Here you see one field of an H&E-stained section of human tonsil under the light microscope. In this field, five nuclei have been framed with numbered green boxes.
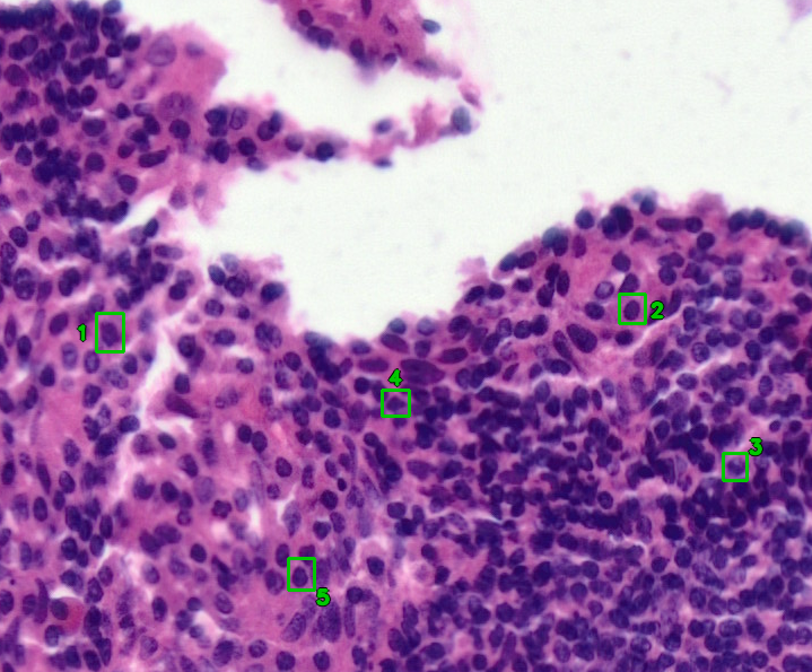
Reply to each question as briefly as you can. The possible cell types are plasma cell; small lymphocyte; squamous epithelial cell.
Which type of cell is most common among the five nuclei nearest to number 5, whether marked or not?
squamous epithelial cell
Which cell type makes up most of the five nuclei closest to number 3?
small lymphocyte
